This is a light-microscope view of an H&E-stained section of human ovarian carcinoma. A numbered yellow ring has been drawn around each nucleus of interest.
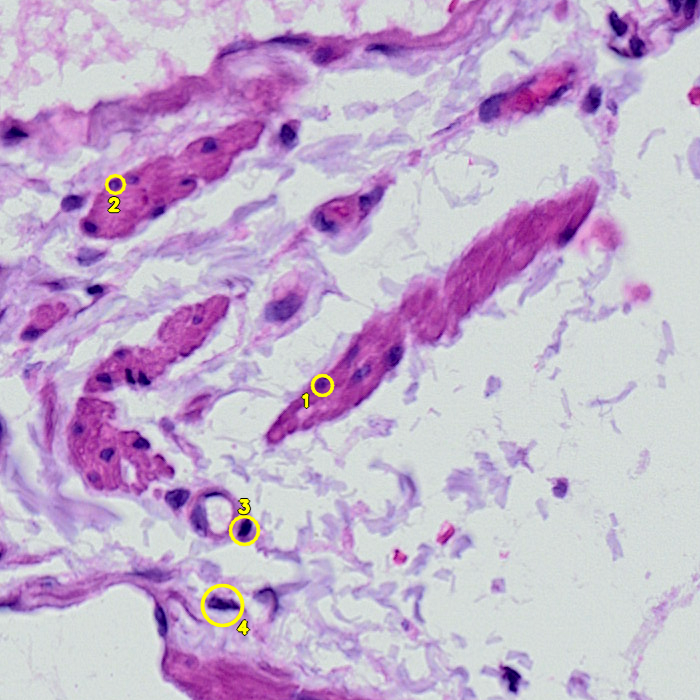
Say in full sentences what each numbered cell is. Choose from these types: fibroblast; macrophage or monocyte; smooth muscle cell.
Cells 1 and 2 are smooth muscle cells. Cell 3 is a macrophage or monocyte. Cell 4 is a fibroblast.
